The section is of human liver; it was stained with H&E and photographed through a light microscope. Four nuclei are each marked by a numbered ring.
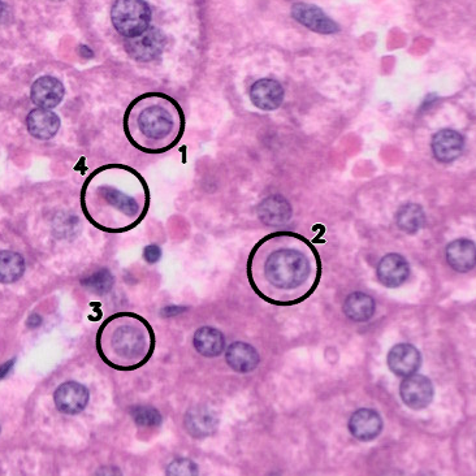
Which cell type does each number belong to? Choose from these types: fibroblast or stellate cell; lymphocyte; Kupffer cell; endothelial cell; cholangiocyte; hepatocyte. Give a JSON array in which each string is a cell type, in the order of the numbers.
["hepatocyte", "hepatocyte", "hepatocyte", "Kupffer cell"]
